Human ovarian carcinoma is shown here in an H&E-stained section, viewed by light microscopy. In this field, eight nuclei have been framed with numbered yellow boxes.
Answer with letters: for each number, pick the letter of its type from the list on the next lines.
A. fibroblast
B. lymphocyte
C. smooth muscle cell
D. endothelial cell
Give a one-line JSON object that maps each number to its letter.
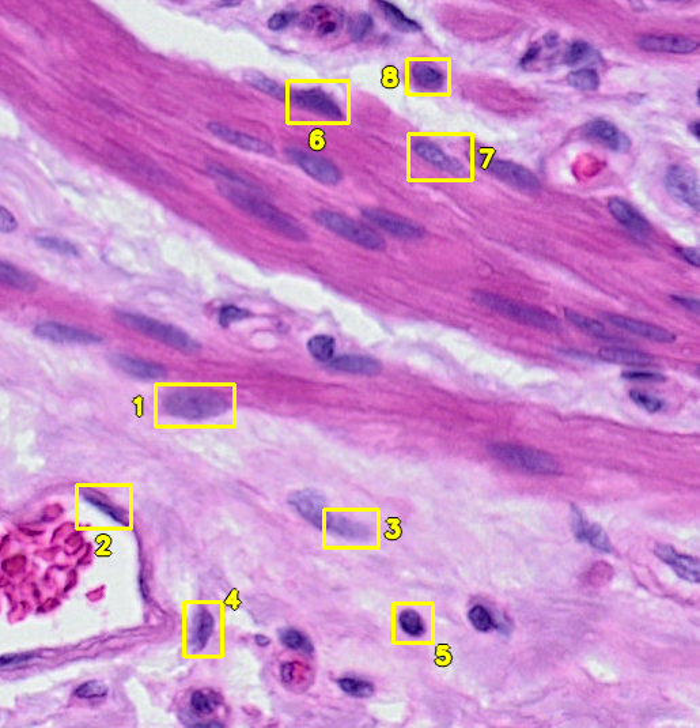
{"1": "C", "2": "D", "3": "A", "4": "A", "5": "B", "6": "C", "7": "C", "8": "C"}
